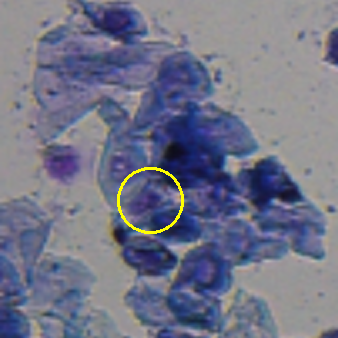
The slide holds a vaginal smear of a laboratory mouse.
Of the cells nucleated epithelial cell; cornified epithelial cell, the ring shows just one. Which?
The ring shows a nucleated epithelial cell.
